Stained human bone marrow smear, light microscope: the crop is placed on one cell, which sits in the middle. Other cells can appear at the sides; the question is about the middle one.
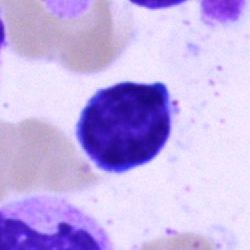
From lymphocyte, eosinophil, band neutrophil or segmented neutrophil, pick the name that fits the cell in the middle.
lymphocyte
